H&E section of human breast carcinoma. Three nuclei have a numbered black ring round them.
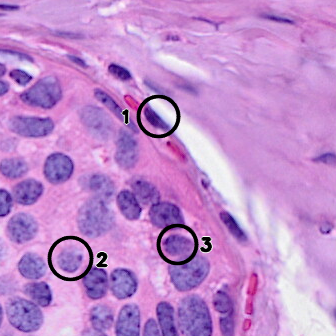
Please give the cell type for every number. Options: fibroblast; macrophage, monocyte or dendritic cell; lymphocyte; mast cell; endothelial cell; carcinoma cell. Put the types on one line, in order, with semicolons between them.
endothelial cell; carcinoma cell; carcinoma cell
